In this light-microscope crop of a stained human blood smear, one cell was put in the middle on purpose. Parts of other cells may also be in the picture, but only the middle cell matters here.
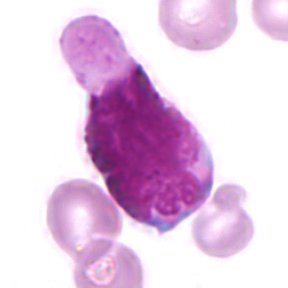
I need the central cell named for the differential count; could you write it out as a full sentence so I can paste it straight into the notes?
The crop shows an atypical promyelocyte in its centre.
